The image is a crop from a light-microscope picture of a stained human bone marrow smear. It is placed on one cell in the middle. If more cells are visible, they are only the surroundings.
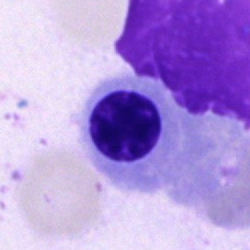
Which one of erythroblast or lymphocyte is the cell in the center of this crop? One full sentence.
What sits at the centre of this crop is an erythroblast.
